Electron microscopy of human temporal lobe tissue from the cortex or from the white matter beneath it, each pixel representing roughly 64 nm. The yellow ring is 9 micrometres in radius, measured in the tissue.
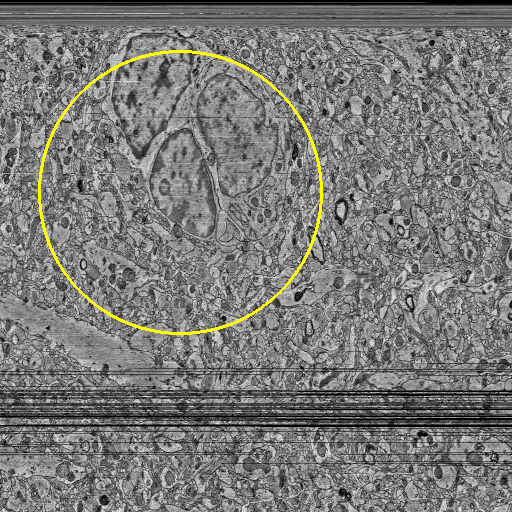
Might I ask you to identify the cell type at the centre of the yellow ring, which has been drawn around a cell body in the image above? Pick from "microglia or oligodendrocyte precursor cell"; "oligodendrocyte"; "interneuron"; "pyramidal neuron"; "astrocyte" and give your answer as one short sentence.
The centre of the ring falls on a microglial cell or oligodendrocyte precursor cell.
